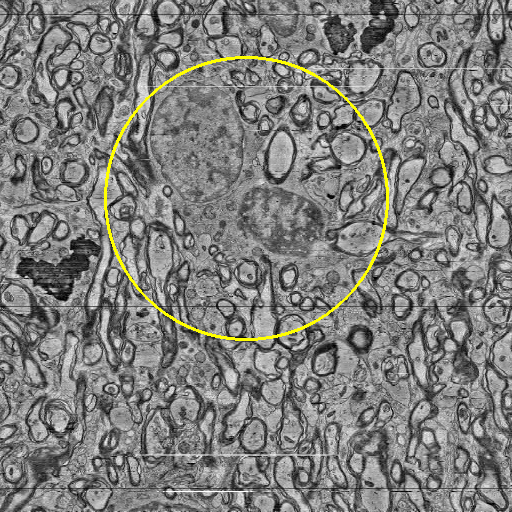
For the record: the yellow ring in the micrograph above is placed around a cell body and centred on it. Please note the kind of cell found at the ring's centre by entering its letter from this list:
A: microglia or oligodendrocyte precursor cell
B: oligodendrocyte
B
